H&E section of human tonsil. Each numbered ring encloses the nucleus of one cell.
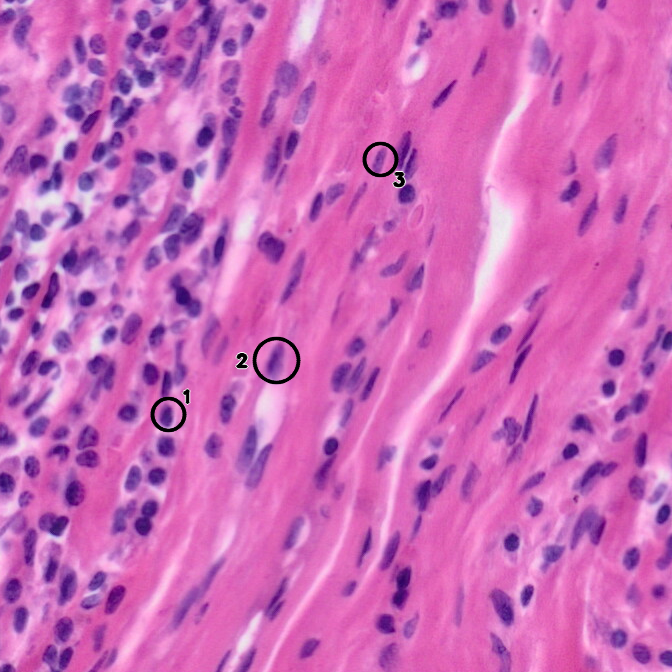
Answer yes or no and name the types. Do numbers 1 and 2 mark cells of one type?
No, cell 2 is an endothelial cell, and cell 1 is a mast cell.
